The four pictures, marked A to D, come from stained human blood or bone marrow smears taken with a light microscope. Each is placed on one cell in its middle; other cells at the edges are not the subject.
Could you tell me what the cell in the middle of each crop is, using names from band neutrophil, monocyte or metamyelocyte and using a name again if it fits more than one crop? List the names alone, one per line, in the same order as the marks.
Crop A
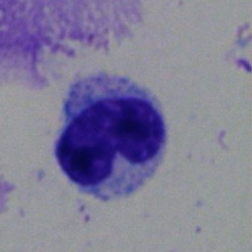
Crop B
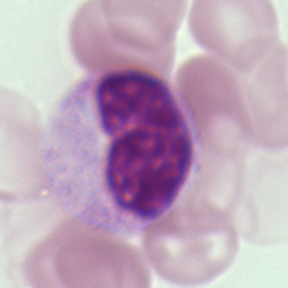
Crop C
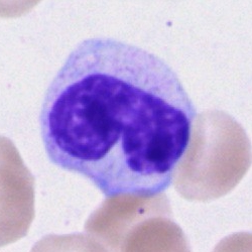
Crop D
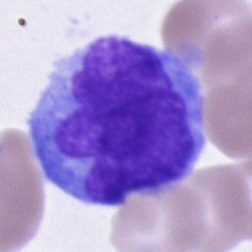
band neutrophil
band neutrophil
metamyelocyte
monocyte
